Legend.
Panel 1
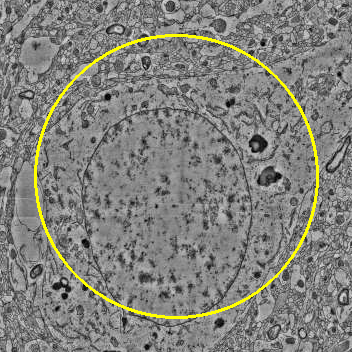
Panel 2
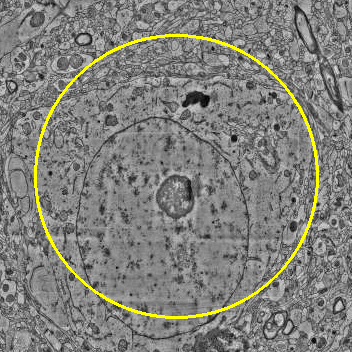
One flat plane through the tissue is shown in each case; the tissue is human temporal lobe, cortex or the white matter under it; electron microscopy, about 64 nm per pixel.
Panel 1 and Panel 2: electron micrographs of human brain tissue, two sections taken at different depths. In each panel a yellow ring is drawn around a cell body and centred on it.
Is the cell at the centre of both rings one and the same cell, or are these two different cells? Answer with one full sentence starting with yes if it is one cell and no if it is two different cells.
Yes, the two yellow circles hold the same cell.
